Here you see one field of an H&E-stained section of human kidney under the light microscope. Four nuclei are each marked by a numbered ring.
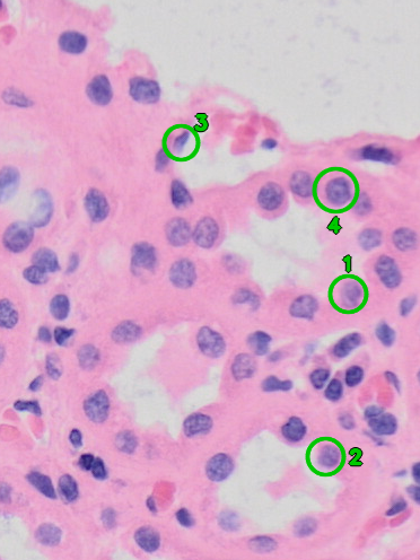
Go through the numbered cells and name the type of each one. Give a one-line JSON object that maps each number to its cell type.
{"1": "loop of Henle or distal tubule cell", "2": "loop of Henle or distal tubule cell", "3": "endothelial cell", "4": "loop of Henle or distal tubule cell"}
